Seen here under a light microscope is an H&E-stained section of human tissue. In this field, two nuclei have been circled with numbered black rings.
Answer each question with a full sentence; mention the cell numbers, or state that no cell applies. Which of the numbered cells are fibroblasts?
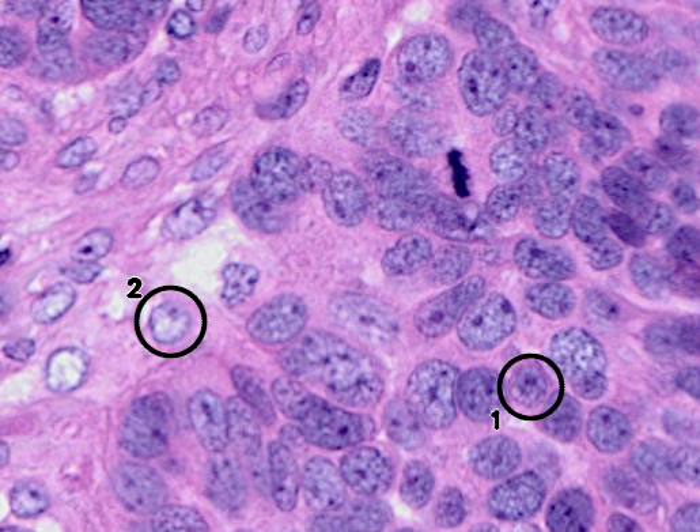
Only at number 2 is there a fibroblast among the marked cells.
